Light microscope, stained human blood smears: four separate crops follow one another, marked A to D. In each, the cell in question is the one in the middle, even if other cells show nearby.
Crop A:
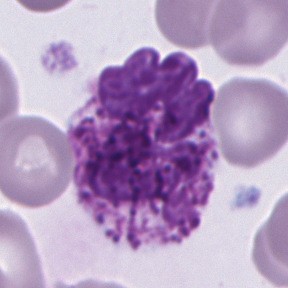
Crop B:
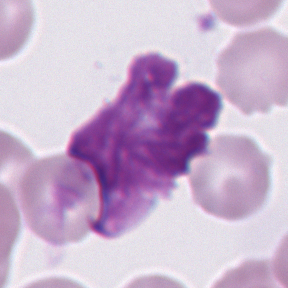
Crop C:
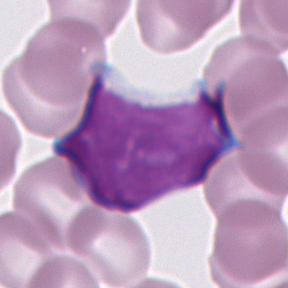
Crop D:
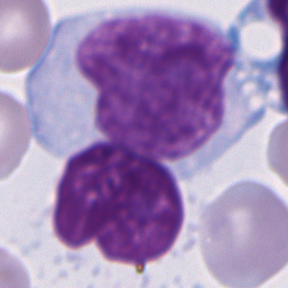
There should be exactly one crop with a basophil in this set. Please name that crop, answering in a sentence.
Crop A is the crop in which a basophil is shown.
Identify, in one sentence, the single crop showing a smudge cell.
Crop B represents a smudge cell, while the other crops do not.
